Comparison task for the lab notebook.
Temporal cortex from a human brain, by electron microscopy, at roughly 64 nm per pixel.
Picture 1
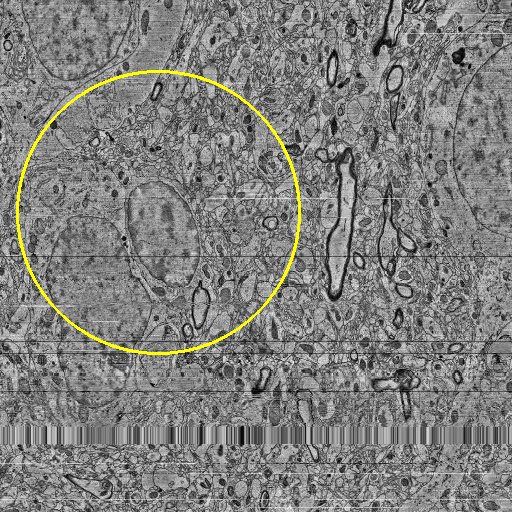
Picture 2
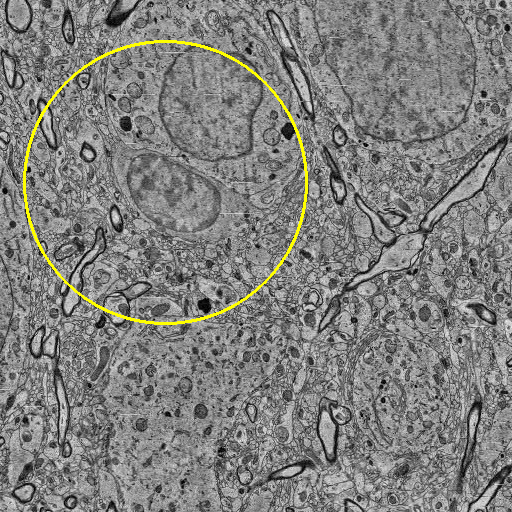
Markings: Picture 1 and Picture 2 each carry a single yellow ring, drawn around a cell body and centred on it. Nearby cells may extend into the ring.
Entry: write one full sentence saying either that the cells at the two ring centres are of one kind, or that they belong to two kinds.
The cells sitting at the ring centres in Picture 1 and Picture 2 are of one kind.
